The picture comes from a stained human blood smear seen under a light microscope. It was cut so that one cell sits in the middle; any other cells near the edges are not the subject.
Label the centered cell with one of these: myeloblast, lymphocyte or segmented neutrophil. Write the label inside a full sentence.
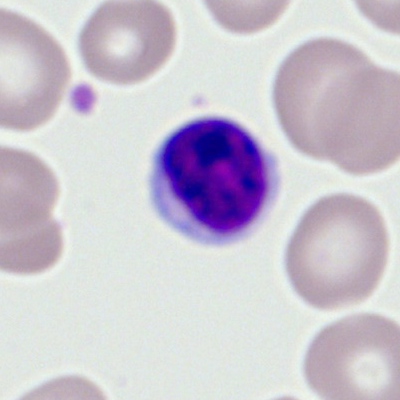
What sits at the centre of this crop is a lymphocyte.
